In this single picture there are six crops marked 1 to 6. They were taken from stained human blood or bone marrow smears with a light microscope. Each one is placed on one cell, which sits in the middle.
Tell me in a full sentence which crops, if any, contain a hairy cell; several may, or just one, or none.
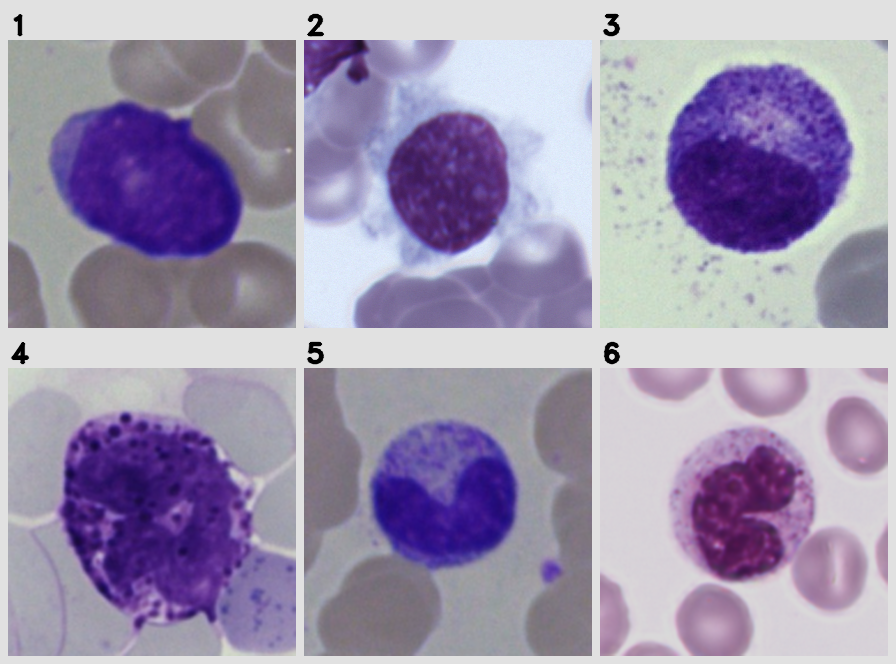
Only crop 2 shows a hairy cell; none of the others do.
